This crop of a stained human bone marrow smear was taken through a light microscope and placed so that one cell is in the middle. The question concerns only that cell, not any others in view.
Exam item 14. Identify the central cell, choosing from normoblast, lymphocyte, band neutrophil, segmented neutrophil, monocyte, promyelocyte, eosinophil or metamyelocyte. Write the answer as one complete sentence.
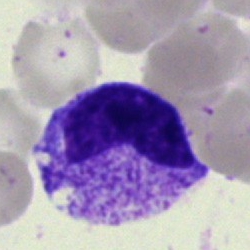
The crop centres on a single cell, and that cell is a band neutrophil.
